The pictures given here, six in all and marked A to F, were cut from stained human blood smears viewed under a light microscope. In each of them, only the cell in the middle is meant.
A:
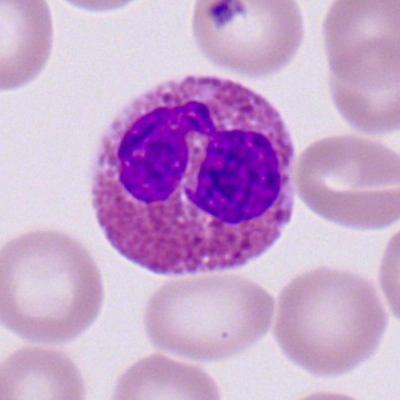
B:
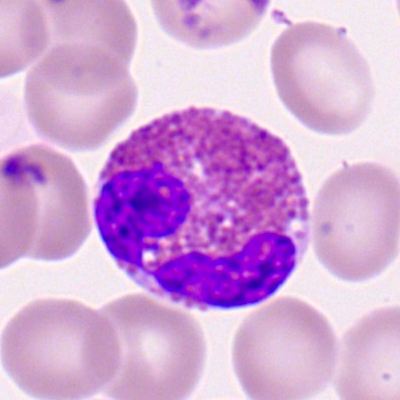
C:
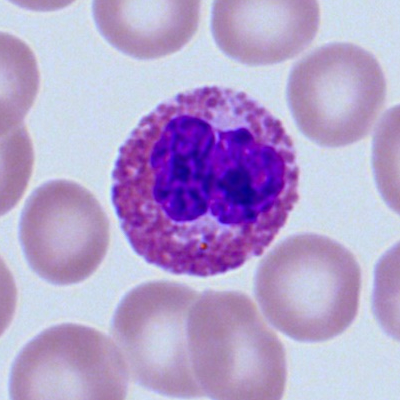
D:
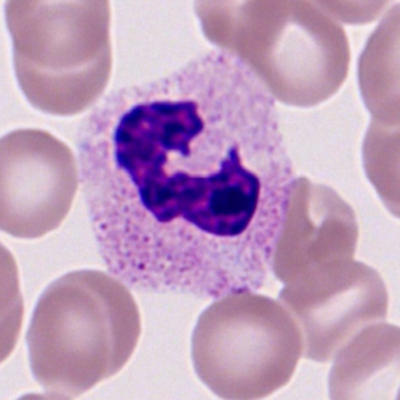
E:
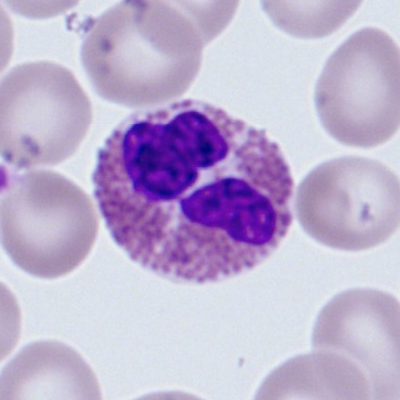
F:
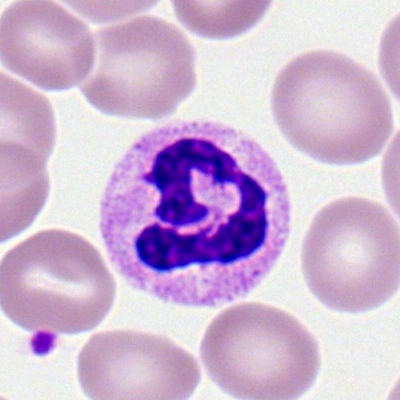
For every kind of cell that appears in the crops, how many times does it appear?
eosinophil: 4
neutrophil: 2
